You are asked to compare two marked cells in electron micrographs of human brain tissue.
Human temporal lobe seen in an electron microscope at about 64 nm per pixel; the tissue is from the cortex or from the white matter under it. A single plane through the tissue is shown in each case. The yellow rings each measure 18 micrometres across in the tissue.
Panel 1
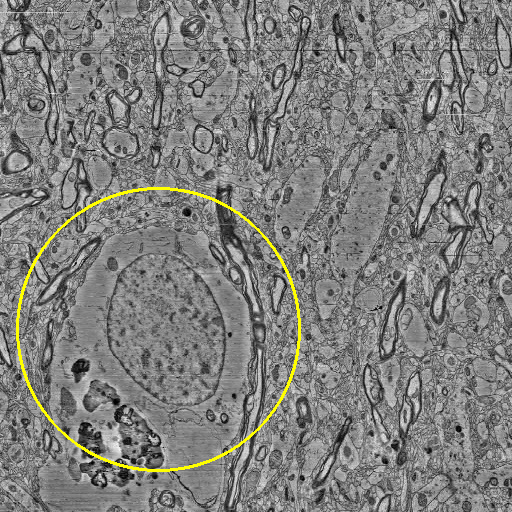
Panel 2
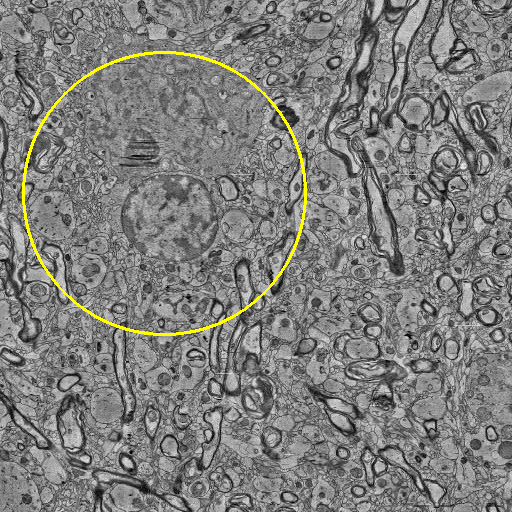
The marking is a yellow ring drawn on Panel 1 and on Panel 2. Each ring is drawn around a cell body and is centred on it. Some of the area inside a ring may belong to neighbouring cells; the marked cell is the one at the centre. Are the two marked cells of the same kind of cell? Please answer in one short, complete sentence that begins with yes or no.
No, the two marked cells are of two kinds.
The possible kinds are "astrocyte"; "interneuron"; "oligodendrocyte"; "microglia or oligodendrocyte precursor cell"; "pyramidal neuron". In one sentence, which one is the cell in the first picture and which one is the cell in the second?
The cell ringed in the second picture is an oligodendrocyte, whereas the one ringed in the first is an astrocyte.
